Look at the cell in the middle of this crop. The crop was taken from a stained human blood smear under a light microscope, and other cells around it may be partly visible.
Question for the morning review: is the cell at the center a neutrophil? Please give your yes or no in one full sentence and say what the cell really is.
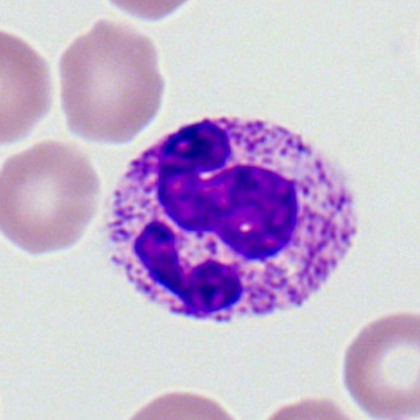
Yes, the cell in the center of the field is a neutrophil.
